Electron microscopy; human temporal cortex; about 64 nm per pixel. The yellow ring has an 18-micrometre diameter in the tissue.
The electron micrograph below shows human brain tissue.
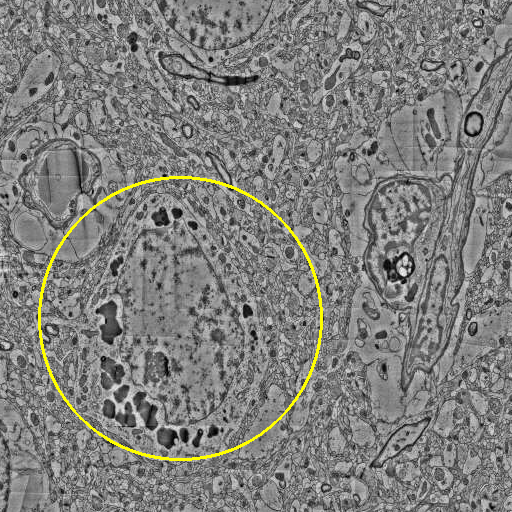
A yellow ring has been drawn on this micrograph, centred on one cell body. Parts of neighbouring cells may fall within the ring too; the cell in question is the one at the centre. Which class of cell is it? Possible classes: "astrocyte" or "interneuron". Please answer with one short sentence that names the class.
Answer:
In the centre of the ring sits an interneuron.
